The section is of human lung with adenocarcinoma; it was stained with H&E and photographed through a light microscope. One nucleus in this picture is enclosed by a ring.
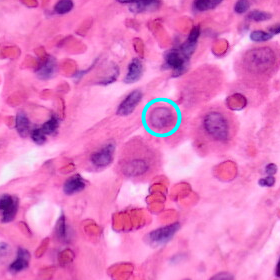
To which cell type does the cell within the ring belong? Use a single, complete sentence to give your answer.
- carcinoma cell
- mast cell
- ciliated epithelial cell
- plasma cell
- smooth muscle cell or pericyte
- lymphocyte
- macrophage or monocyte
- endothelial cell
In this section of tissue, the cell within the ring is a macrophage or monocyte.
